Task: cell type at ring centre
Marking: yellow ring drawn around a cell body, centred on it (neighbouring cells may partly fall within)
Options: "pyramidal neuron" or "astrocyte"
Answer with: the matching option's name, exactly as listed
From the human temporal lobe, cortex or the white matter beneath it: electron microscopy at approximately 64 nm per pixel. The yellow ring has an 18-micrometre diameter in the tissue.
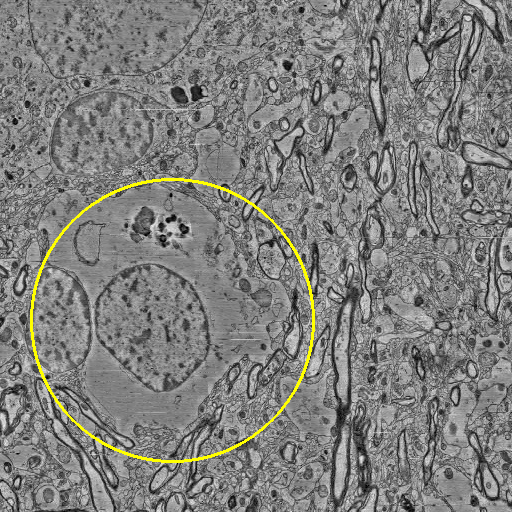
astrocyte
